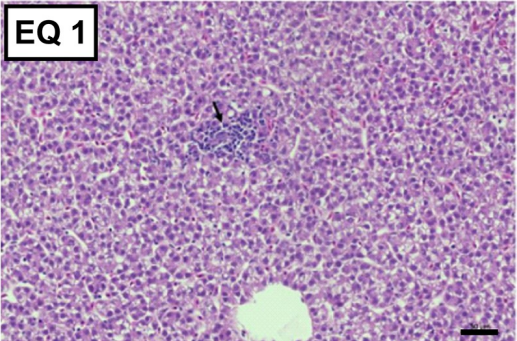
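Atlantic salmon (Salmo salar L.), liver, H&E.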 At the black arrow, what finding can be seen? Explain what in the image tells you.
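A focal cluster of small cells with dark blue round nuclei lies among the hepatocytes. The clustered cells have scant cytoplasm compared with the surrounding hepatocytes.
Conclusion: lymphocytic-type infiltrate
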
